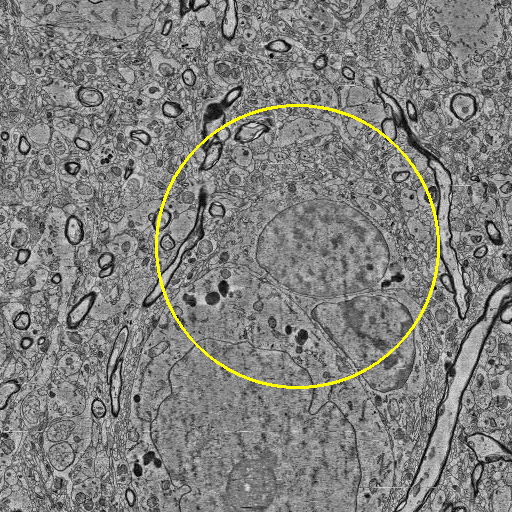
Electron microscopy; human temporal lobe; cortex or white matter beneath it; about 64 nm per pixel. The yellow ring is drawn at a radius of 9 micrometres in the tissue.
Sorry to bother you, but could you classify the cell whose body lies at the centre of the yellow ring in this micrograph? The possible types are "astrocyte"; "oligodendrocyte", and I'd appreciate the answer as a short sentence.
The ringed cell body is that of an oligodendrocyte.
